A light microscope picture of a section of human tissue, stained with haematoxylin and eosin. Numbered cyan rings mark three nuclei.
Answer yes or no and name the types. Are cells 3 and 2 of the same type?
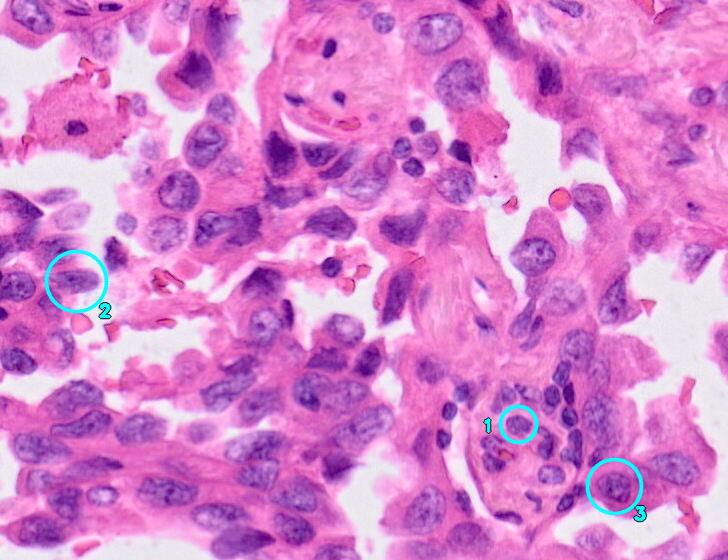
Yes, both of the numbered cells concerned, 3 and 2, are carcinoma cells.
